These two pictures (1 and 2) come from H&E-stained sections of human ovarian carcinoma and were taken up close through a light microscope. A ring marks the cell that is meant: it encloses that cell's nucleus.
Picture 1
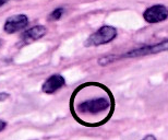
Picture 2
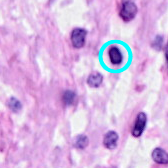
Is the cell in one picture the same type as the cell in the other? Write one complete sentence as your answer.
Yes, both are lymphocytes.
